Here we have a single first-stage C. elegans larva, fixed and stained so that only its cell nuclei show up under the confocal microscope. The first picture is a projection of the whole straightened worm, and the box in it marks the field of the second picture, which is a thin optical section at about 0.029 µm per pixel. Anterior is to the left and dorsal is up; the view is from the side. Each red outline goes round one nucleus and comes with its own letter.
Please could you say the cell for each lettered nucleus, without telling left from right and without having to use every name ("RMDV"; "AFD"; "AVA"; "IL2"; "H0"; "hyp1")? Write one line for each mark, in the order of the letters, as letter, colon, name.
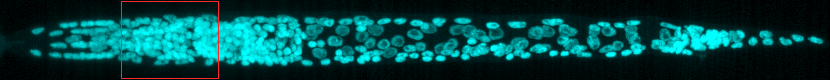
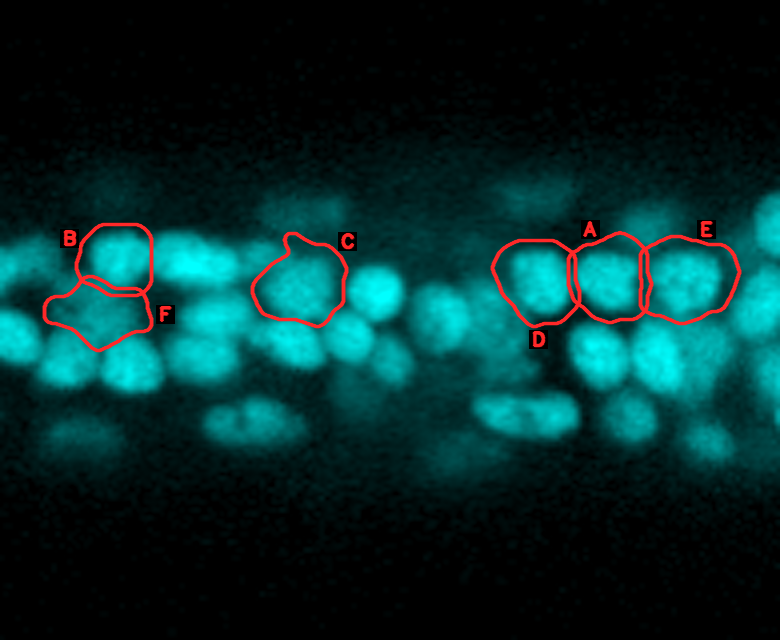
A: AVA
B: hyp1
C: IL2
D: RMDV
E: AFD
F: H0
